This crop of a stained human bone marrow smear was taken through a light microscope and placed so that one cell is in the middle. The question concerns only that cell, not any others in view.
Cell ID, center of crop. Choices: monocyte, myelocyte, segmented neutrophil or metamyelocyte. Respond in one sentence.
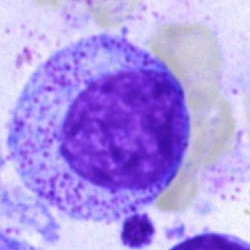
The cell in the middle of this crop is a myelocyte.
